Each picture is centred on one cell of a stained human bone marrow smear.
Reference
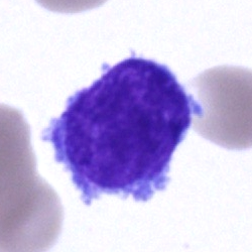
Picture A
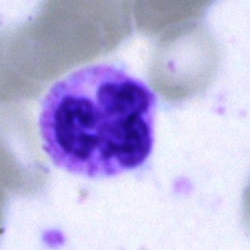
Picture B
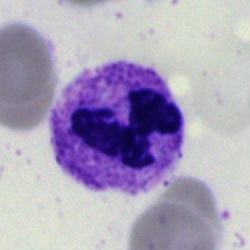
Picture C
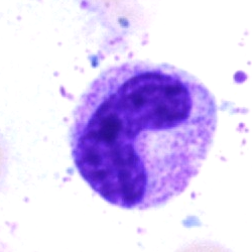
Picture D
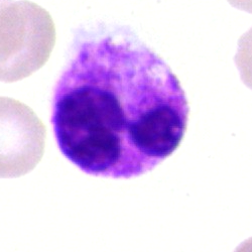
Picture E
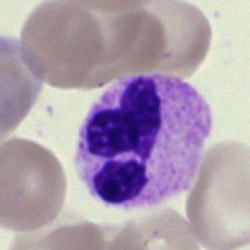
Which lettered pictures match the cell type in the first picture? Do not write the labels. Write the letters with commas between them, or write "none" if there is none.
none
